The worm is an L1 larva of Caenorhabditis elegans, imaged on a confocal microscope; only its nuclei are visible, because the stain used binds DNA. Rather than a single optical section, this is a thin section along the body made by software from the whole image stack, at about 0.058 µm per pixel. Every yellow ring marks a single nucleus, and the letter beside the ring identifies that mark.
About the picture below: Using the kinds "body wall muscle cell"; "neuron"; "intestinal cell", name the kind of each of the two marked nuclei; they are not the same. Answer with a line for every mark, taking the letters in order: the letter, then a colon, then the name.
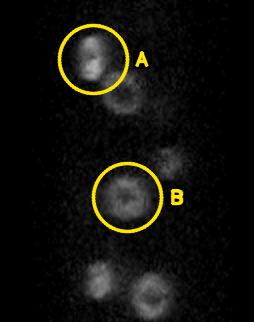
A: body wall muscle cell
B: intestinal cell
